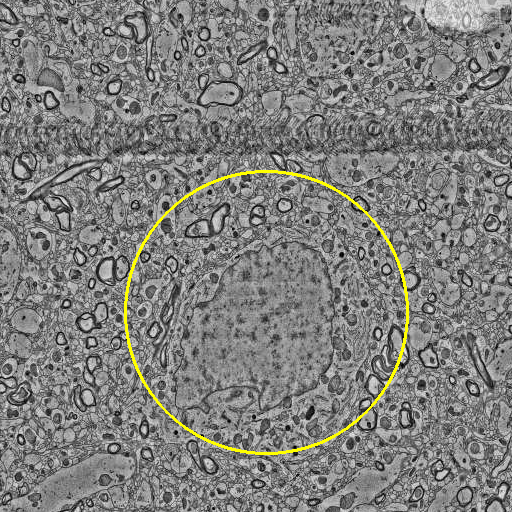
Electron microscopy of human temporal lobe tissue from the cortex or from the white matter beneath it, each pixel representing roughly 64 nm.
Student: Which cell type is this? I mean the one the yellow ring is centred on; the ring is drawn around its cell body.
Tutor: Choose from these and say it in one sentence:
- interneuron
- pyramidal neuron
The cell the ring is centred on is an interneuron.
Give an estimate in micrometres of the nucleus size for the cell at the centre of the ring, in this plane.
The nucleus of the ringed cell is approximately 12 by 9 micrometres in this plane.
